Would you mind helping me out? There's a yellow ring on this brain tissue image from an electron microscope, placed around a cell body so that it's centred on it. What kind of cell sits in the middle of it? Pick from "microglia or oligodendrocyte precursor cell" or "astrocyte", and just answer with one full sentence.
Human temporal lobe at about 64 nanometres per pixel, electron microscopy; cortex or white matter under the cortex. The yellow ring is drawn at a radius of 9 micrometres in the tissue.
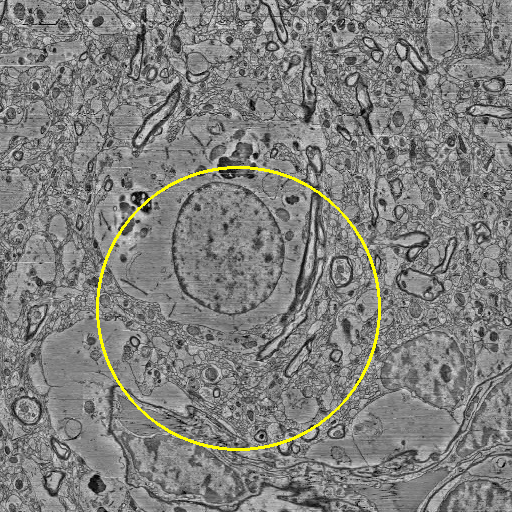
What sits in the middle of that yellow ring is an astrocyte, from your choices.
